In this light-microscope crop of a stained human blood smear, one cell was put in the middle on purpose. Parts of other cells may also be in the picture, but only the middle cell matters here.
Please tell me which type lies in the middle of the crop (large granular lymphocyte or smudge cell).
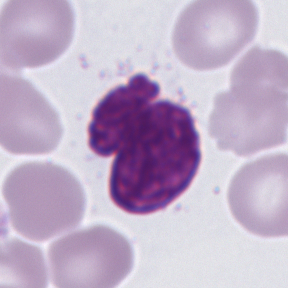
smudge cell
